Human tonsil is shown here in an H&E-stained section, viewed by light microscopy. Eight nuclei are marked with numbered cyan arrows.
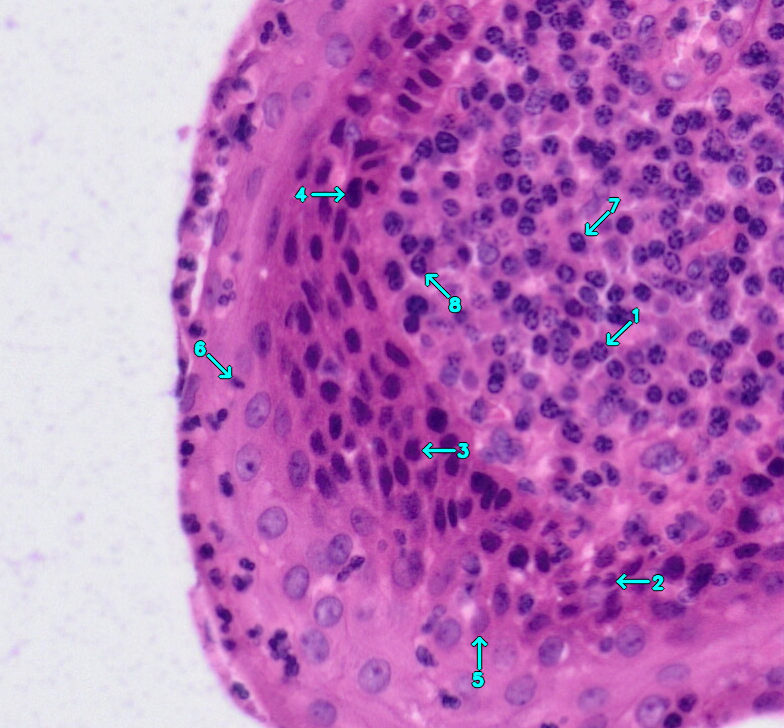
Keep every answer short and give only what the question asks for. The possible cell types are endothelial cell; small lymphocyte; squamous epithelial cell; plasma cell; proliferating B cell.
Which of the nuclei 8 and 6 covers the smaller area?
6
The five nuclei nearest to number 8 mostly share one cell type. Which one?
plasma cell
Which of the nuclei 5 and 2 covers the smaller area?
2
